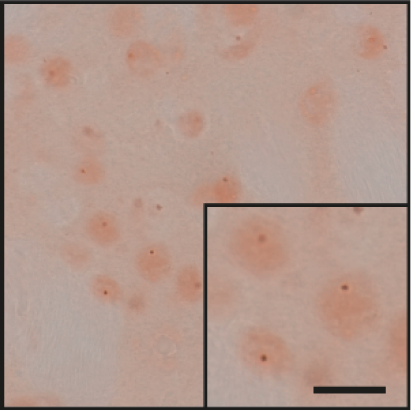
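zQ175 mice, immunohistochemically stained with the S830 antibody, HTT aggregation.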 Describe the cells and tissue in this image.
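Striatal tissue with scattered round, diffusely pink-stained nuclei against a pale grey background with paler unstained patches. A few nuclei show a tiny darker dot, as seen in the enlarged inset.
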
